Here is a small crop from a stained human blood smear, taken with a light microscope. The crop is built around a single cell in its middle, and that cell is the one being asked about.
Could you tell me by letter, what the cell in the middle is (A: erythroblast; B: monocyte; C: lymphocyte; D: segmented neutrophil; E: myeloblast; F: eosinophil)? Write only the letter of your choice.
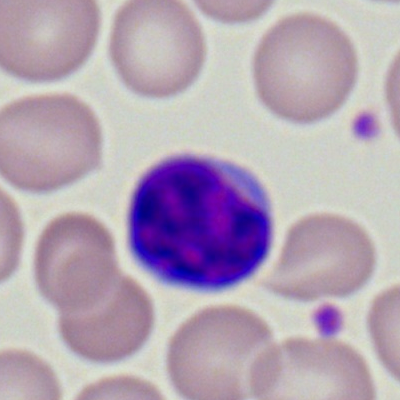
C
